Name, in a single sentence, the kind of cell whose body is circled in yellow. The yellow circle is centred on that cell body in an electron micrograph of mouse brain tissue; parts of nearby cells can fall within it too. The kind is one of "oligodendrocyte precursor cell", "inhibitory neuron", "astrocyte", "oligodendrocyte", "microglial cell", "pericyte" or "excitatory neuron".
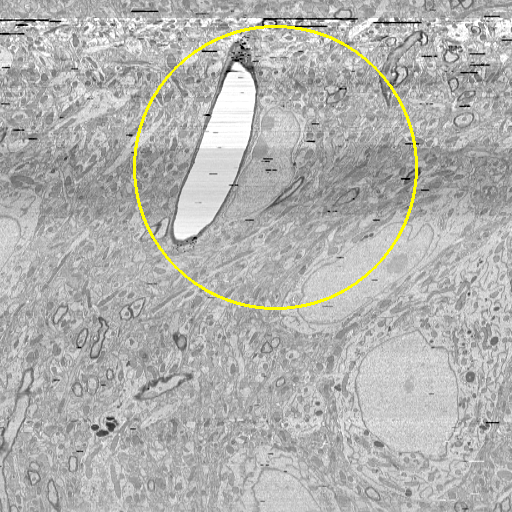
The circled cell body belongs to an oligodendrocyte precursor cell.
